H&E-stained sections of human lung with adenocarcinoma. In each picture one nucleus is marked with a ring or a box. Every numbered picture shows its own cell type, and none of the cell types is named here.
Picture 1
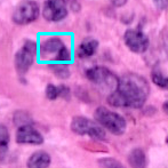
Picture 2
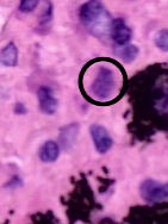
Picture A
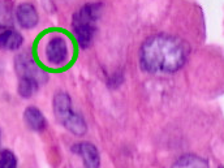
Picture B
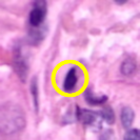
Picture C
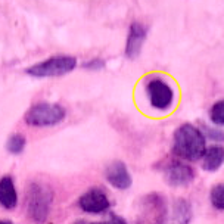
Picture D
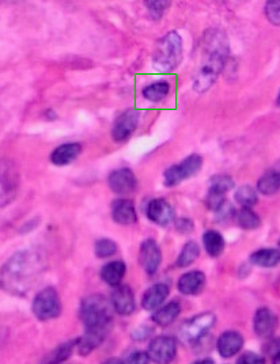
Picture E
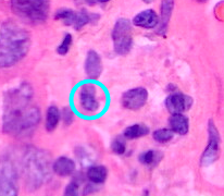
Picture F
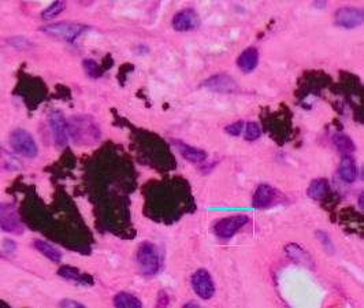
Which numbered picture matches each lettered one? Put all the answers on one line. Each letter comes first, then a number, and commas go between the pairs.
A 1, B 2, C 1, D 1, E 1, F 2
